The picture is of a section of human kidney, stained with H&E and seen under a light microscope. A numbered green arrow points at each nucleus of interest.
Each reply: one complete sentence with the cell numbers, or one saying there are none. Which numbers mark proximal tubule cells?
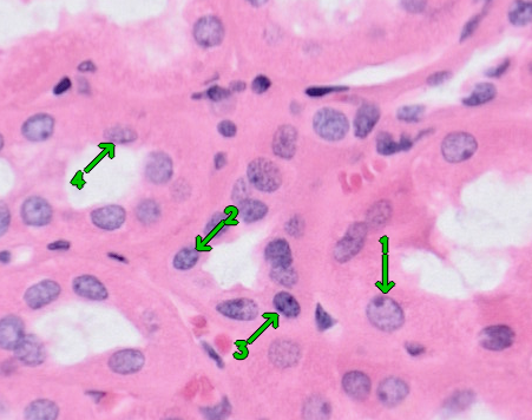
Of the numbered nuclei, only the one labelled 1 belongs to a proximal tubule cell.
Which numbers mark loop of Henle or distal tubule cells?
Of the numbered cells, only cell 4 is a loop of Henle or distal tubule cell.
